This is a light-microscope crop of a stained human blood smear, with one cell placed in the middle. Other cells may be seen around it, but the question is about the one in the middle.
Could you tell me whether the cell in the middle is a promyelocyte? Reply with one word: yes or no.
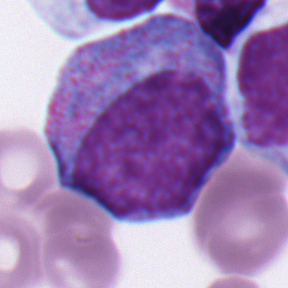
yes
